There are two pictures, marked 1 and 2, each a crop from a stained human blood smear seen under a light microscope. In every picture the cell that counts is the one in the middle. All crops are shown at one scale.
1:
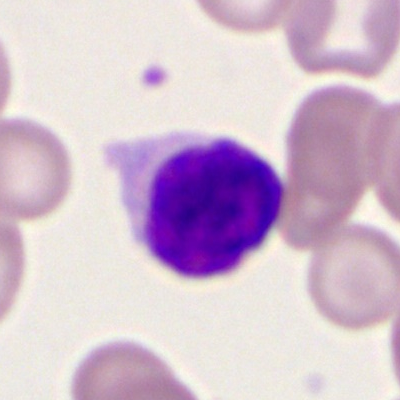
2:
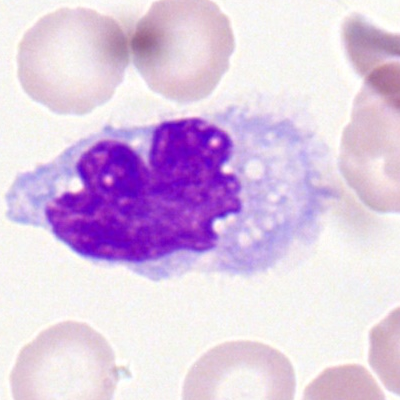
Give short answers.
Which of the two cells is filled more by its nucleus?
1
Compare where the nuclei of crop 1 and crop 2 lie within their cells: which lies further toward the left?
2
